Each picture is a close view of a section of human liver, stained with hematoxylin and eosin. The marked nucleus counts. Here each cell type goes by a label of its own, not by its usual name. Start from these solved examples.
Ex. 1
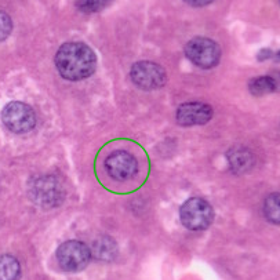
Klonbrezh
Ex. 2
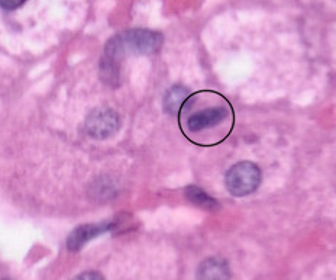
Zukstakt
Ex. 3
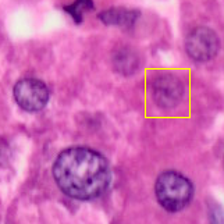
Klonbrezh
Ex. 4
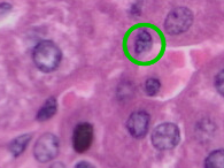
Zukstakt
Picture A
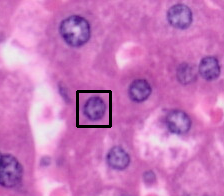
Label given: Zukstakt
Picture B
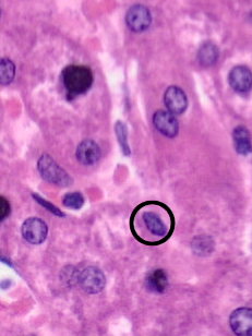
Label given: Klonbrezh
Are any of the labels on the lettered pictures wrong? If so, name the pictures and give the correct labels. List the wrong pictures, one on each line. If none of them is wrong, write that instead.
A should be Klonbrezh, not Zukstakt
B should be Zukstakt, not Klonbrezh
